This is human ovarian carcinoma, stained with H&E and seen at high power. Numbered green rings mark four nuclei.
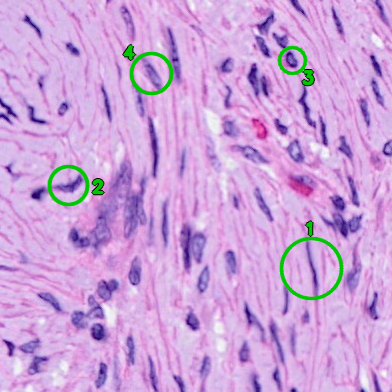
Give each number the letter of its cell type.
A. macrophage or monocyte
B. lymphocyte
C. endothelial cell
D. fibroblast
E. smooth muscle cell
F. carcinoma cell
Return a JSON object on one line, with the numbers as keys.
{"1": "D", "2": "D", "3": "A", "4": "D"}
